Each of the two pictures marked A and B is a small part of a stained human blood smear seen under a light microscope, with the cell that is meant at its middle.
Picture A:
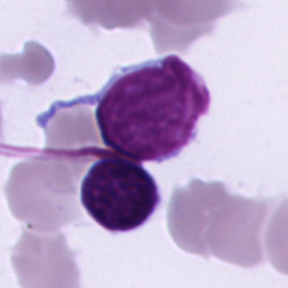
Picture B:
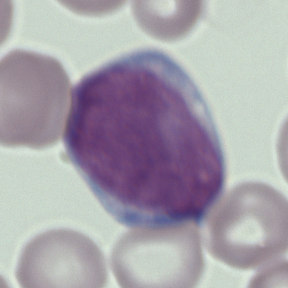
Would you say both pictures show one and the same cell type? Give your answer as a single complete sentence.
Yes, the two pictures both show myeloblasts.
